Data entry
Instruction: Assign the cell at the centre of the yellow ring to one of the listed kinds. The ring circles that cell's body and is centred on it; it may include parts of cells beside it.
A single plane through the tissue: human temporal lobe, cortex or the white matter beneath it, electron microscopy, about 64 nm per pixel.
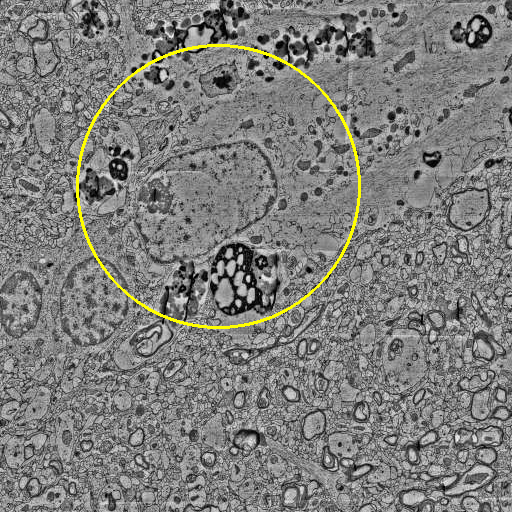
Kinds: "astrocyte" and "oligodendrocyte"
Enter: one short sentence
The centre of the ring falls on an astrocyte.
